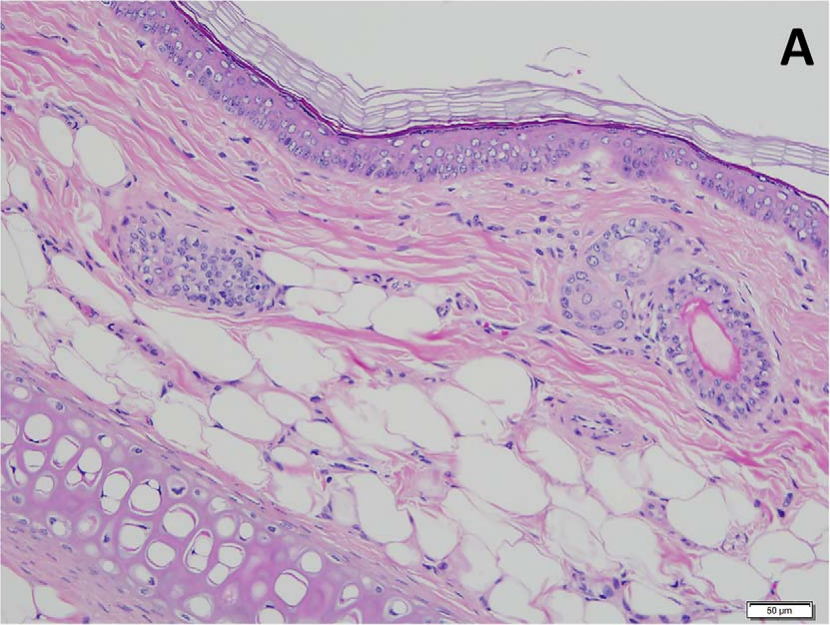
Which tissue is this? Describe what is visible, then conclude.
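A thin stratified epidermis with a basket-weave keratin layer covers the surface. Cross-sectioned hair follicles lie in the dermis. Adipocytes lie beneath the dermis. A plate of cartilage lies at the lower left.
Hence: Haired skin.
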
